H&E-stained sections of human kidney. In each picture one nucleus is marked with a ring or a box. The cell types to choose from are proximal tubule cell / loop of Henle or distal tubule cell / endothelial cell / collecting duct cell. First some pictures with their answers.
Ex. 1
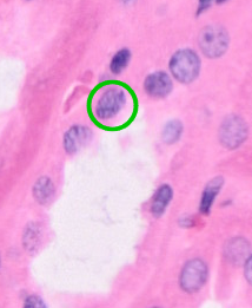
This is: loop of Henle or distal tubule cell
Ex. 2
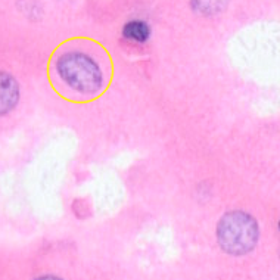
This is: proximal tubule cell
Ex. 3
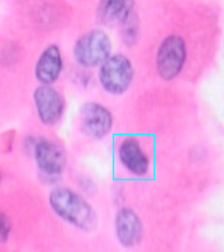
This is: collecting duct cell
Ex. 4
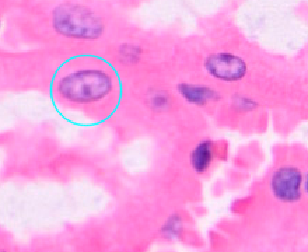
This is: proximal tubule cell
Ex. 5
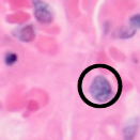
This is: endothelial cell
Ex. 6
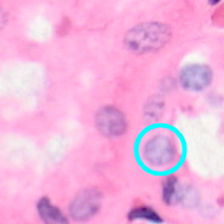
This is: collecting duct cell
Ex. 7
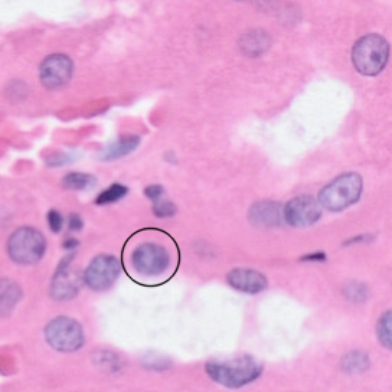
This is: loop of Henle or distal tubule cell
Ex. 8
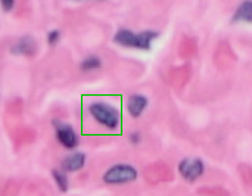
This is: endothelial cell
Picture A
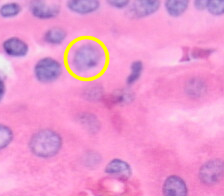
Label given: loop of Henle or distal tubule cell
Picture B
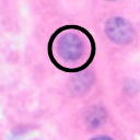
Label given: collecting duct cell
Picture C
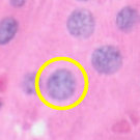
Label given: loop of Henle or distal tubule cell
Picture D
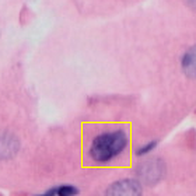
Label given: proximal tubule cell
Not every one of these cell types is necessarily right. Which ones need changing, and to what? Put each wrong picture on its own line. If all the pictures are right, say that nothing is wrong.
B: not collecting duct cell but proximal tubule cell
